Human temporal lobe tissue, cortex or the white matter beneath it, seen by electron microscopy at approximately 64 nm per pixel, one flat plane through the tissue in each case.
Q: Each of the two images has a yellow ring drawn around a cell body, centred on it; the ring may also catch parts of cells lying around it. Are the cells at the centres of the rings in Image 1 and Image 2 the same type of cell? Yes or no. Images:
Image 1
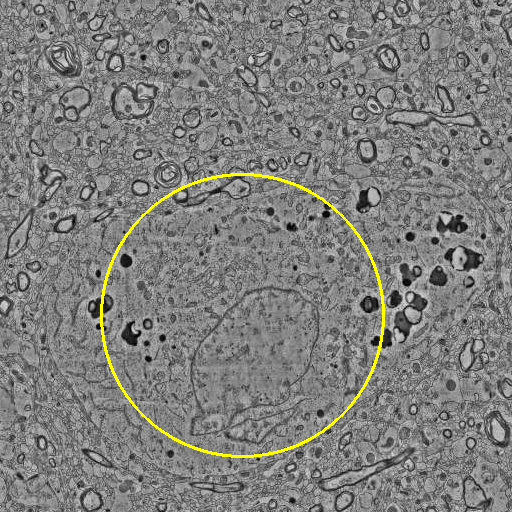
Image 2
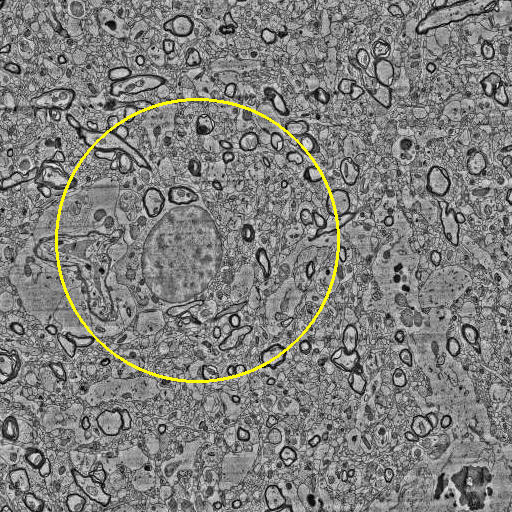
no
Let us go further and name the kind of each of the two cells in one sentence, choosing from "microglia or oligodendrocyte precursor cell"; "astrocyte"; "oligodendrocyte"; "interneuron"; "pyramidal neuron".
The ring of the first picture is on a pyramidal neuron, the ring of the second on an oligodendrocyte.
